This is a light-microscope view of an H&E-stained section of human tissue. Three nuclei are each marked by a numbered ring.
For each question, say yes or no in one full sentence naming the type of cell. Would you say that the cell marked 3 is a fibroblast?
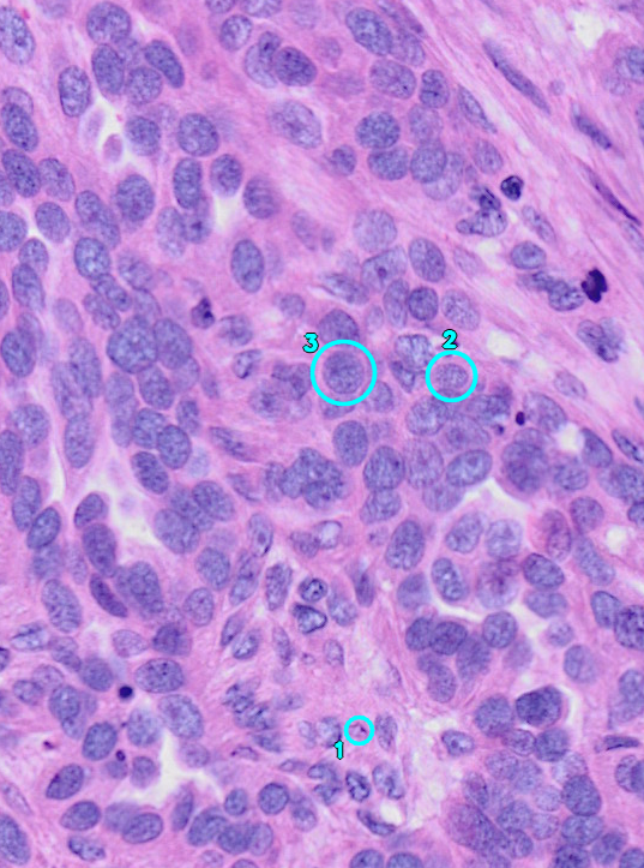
No, the cell at marker 3 is not a fibroblast; it is a carcinoma cell.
